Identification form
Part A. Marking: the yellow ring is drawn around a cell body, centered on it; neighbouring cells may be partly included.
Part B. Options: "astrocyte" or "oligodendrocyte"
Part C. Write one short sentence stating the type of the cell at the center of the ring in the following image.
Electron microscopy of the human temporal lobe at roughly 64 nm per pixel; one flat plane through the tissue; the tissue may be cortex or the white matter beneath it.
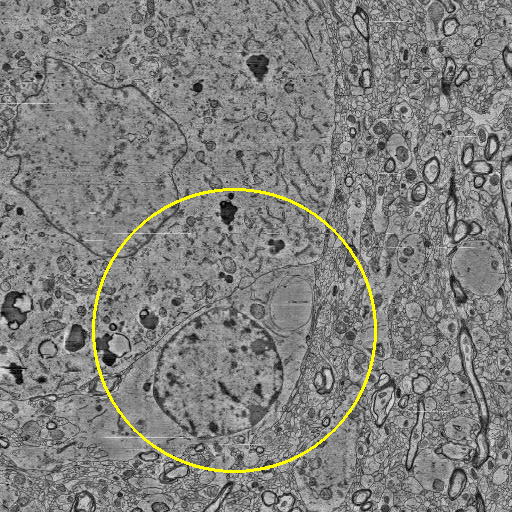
The center of the ring holds an astrocyte.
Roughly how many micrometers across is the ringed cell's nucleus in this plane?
Approximately 8 micrometers across in this plane.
